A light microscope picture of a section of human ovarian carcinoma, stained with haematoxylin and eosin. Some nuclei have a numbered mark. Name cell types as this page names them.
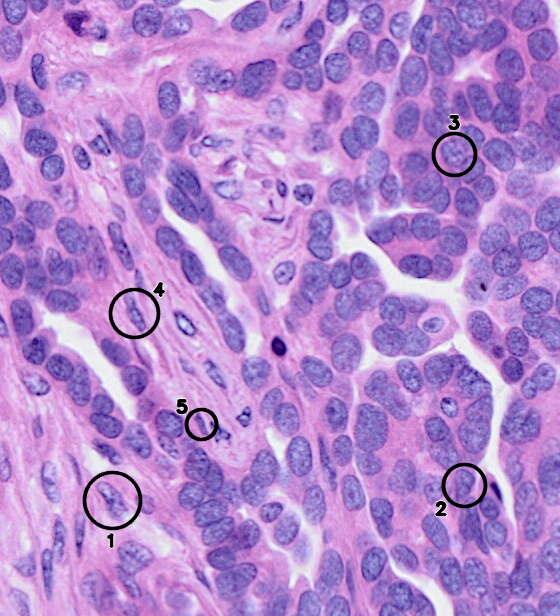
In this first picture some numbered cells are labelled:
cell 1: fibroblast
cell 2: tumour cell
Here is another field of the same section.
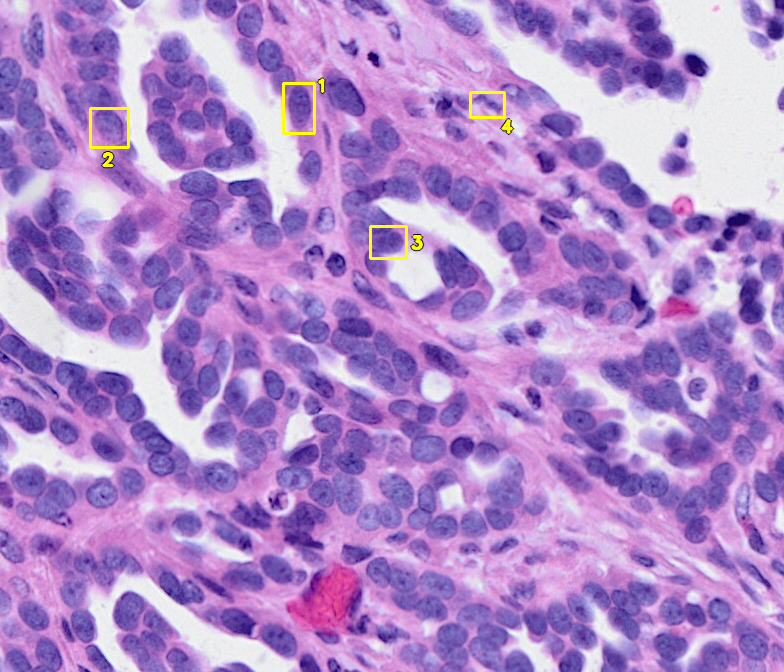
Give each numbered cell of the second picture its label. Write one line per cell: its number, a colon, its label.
1: tumour cell
2: tumour cell
3: tumour cell
4: fibroblast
